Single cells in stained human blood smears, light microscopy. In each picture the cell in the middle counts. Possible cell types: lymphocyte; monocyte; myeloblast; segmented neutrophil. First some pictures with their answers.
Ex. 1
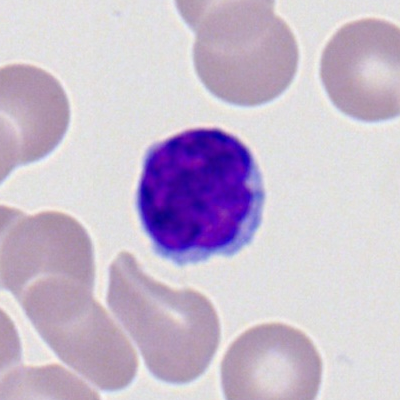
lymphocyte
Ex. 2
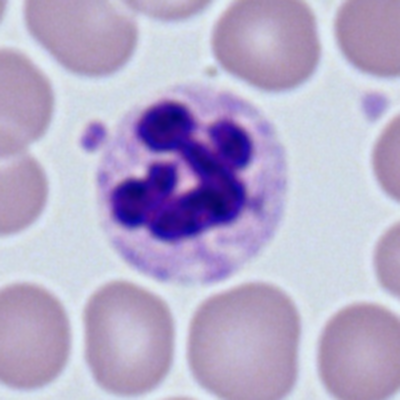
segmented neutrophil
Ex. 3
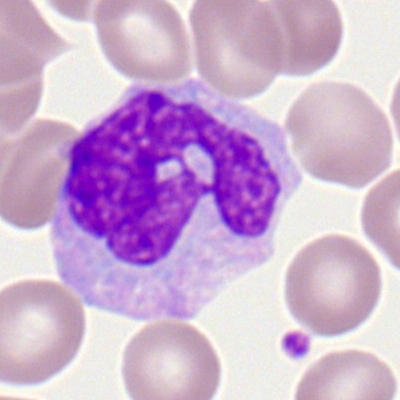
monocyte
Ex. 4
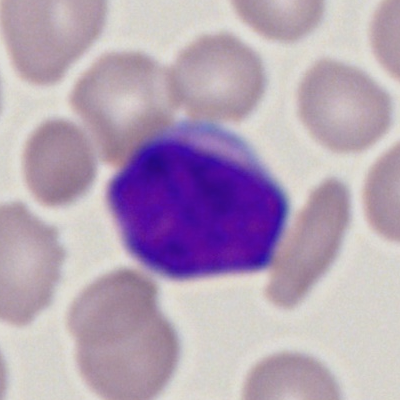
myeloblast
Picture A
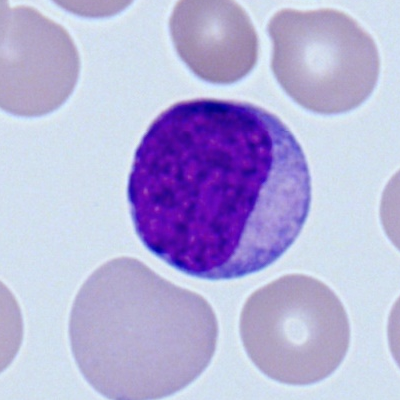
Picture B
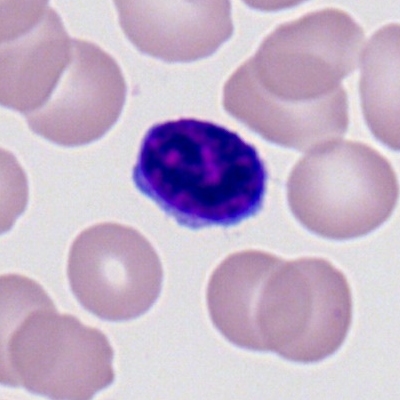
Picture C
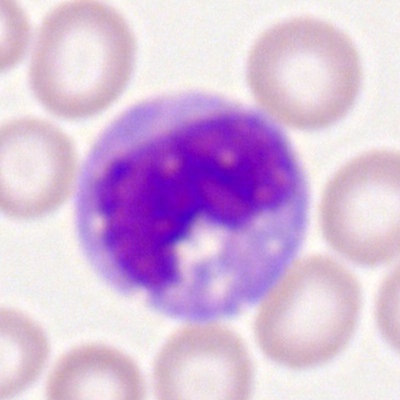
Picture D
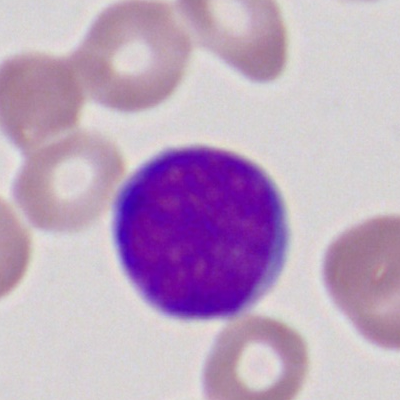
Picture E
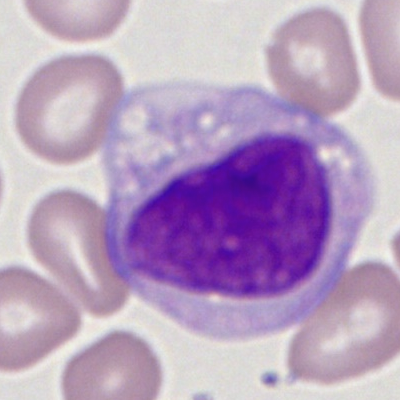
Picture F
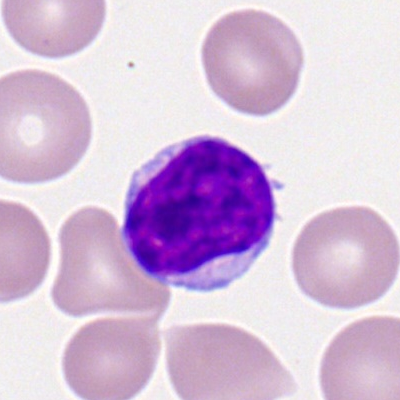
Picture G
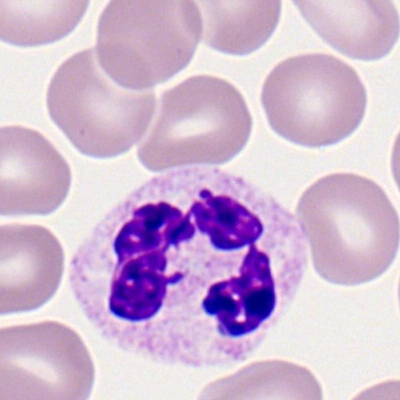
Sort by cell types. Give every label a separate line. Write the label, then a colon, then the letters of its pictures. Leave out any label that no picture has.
lymphocyte: B, F
monocyte: C, E
myeloblast: A, D
segmented neutrophil: G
